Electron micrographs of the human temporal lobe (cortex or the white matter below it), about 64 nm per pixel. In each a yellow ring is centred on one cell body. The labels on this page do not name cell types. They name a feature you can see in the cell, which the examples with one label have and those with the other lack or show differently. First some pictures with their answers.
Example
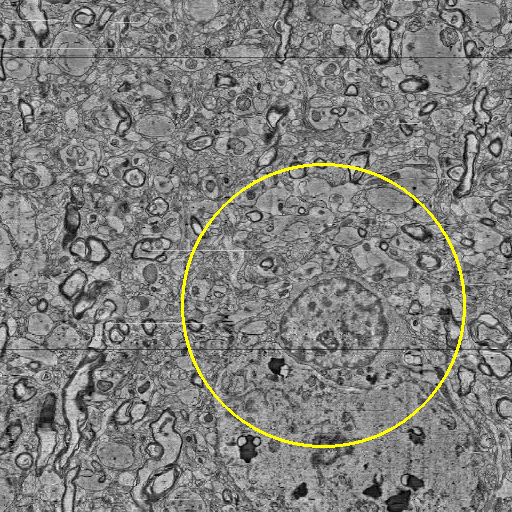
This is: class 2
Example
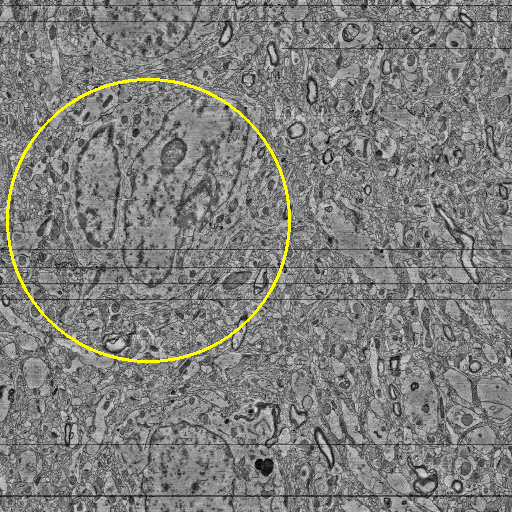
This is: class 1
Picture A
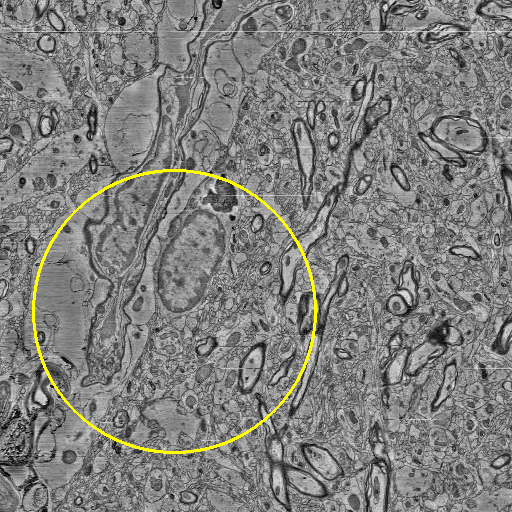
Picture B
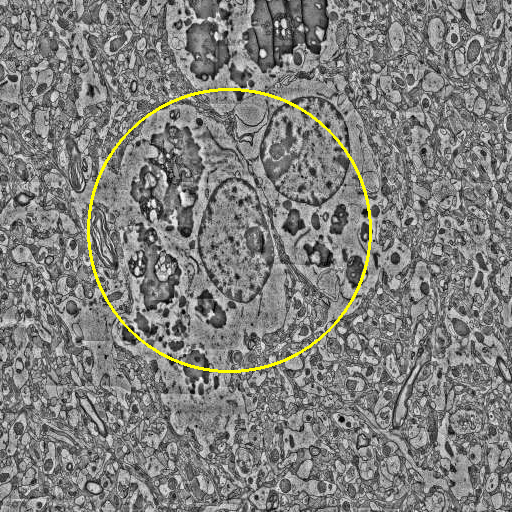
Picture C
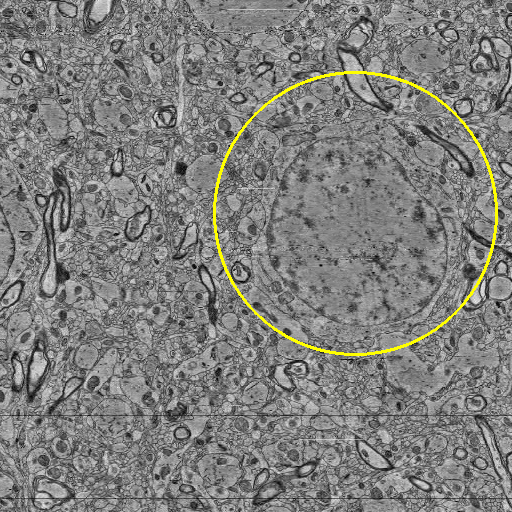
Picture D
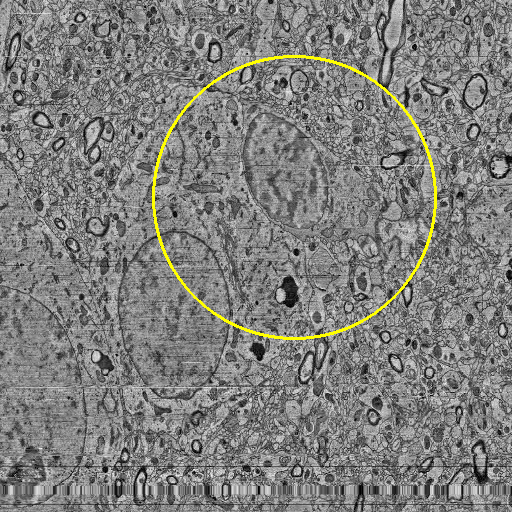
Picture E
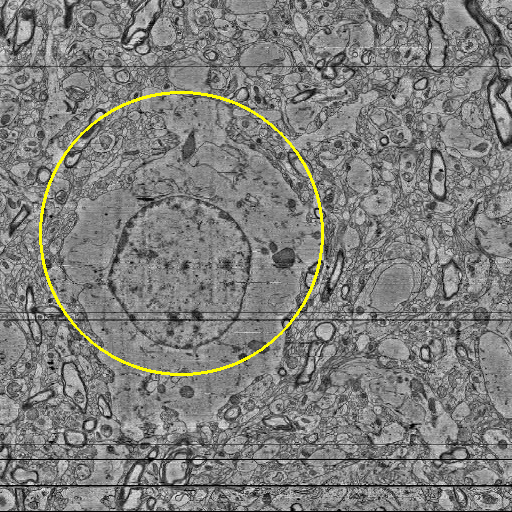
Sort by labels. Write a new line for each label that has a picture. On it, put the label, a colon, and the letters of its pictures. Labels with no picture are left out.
class 2: C, E
class 1: A, B, D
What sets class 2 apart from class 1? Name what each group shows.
Seen in class 2: round or nearly round nuclei; seen in class 1: clearly elongated nuclei.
